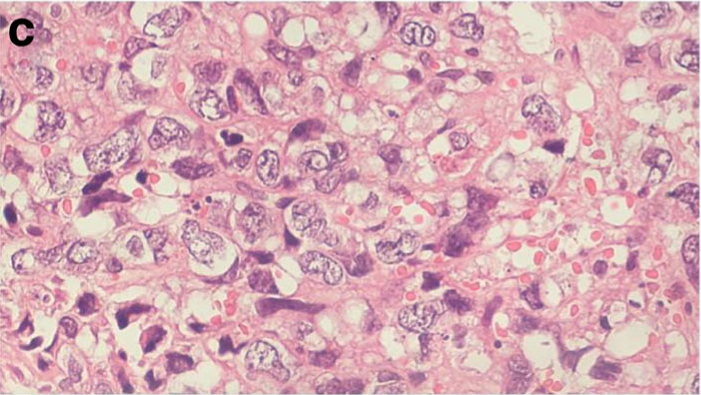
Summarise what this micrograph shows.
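These are large, markedly pleomorphic tumor cells seen at higher magnification. The nuclei differ strongly from one another in size and shape: some are big, pale and vesicular, others small, dark and irregular. The cytoplasm is pink and in many cells appears pale or vacuolated, with clear spaces between cells. Small red blood cells are scattered among the tumor cells.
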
